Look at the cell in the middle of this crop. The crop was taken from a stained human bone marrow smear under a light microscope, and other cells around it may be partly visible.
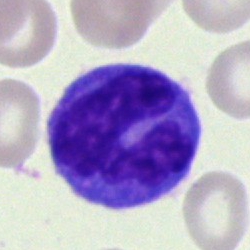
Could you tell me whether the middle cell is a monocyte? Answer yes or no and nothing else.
yes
